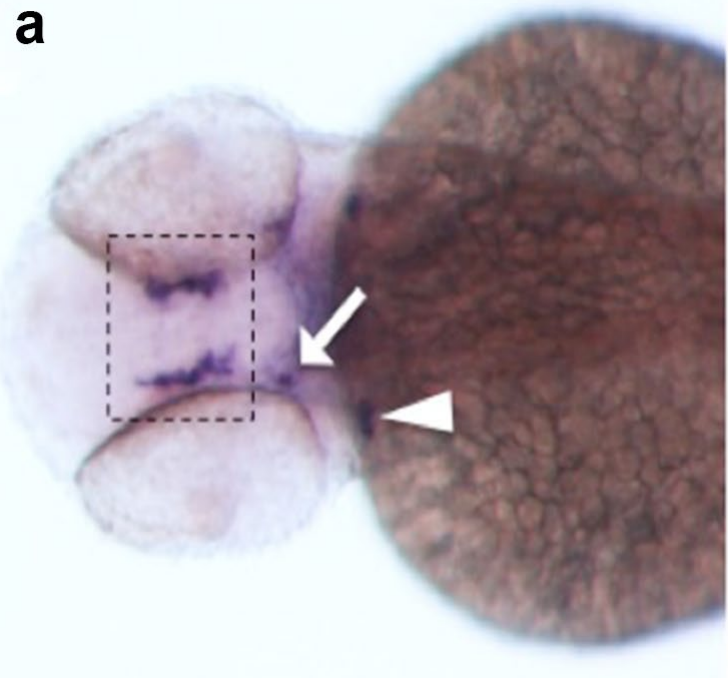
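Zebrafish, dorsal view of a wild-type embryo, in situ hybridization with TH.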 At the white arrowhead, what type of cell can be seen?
Arch-associated catecholaminergic neurons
